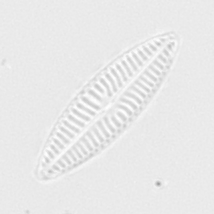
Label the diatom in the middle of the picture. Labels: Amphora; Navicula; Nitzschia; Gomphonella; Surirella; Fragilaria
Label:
Navicula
